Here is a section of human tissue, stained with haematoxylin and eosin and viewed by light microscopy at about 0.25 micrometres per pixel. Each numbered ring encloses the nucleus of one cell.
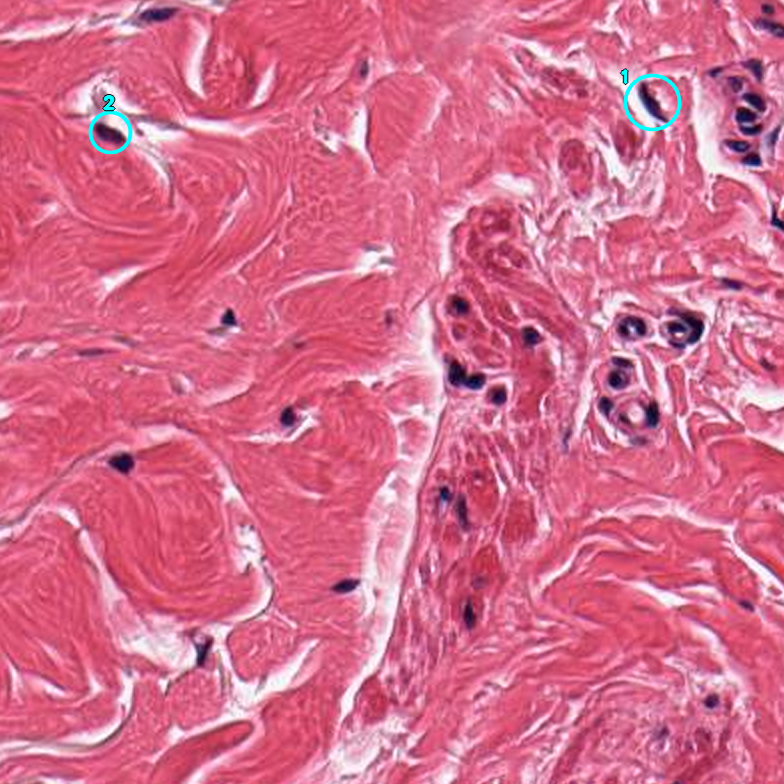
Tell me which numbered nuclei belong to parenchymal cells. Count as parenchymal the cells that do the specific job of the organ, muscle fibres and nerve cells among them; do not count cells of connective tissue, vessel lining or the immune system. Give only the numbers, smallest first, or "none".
none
